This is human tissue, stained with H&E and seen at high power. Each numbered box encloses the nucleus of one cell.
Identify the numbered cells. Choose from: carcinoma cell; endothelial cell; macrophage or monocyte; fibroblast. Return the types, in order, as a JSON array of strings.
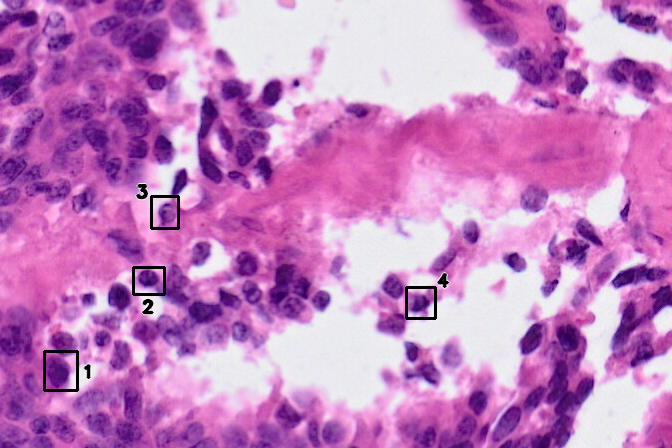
["carcinoma cell", "carcinoma cell", "macrophage or monocyte", "carcinoma cell"]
